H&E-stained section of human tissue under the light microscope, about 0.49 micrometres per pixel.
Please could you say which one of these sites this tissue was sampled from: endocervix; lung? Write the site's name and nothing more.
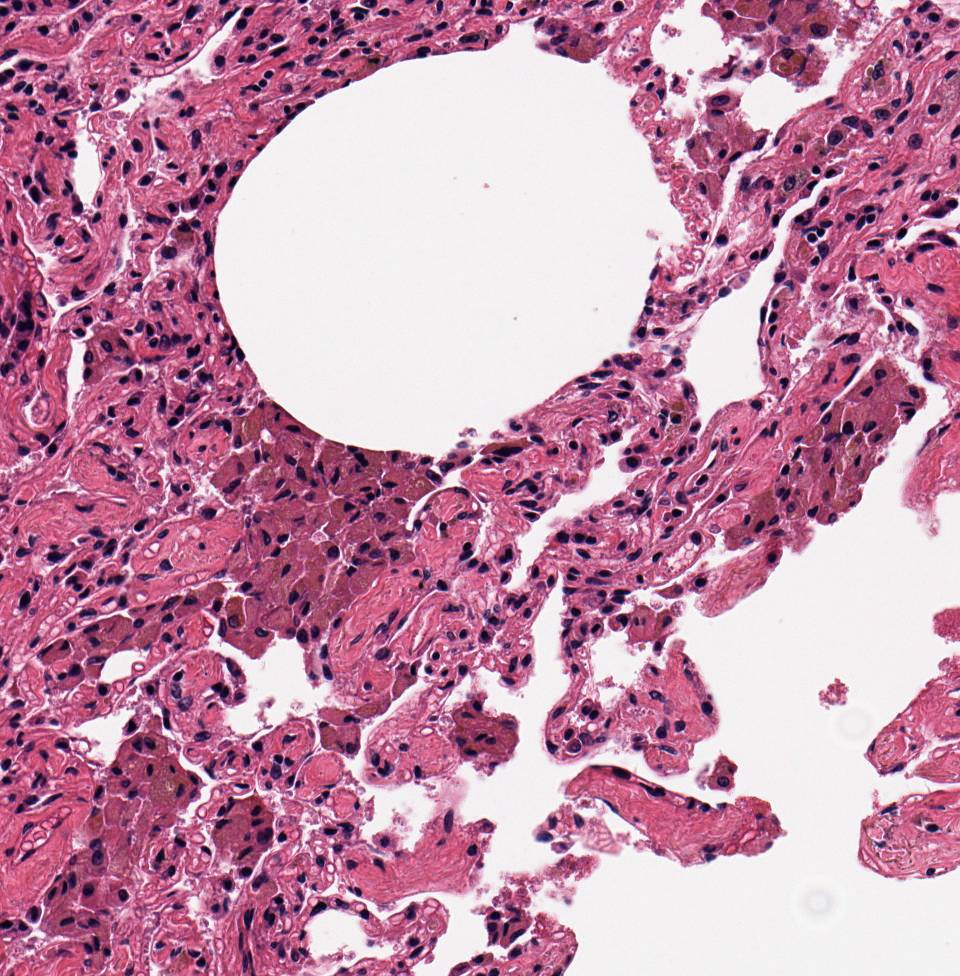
lung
